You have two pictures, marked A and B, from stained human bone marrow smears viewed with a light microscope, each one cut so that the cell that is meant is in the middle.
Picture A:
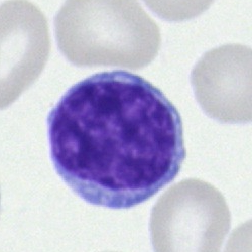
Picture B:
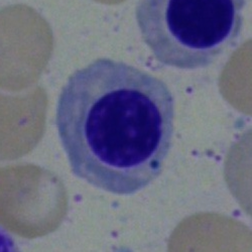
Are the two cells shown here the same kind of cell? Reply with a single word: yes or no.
no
